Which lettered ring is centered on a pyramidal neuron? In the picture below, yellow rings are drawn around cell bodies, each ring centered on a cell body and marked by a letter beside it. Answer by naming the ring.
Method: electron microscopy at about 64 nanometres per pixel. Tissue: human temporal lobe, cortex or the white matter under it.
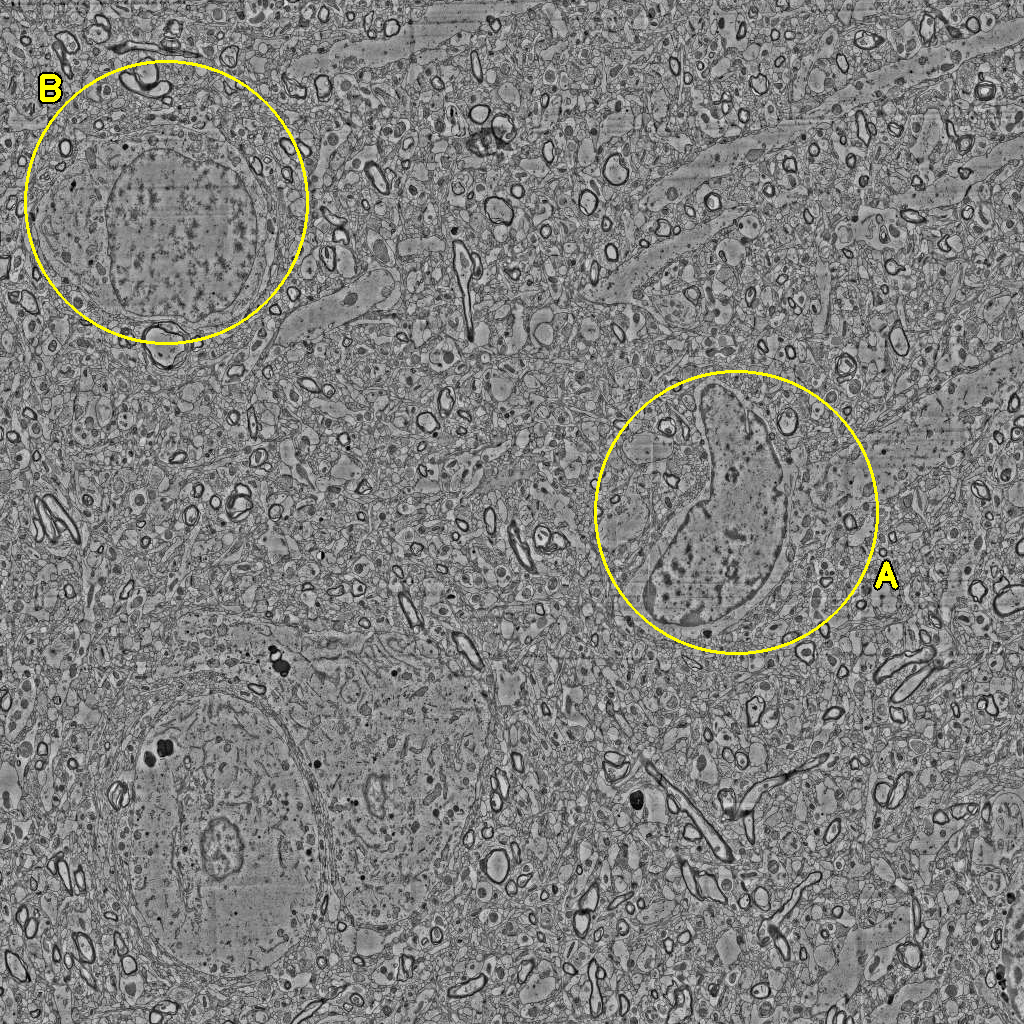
Ring B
